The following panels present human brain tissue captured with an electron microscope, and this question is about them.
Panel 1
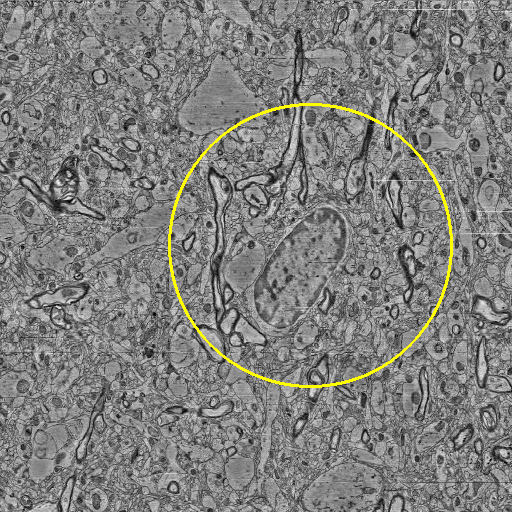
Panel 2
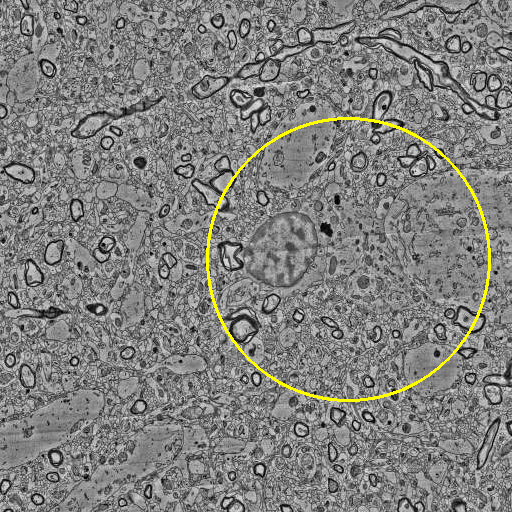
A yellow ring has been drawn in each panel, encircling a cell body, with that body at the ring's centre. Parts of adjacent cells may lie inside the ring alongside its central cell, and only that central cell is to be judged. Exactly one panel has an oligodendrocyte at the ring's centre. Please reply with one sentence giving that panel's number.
The ring whose central cell fits the description is the one in panel 2.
